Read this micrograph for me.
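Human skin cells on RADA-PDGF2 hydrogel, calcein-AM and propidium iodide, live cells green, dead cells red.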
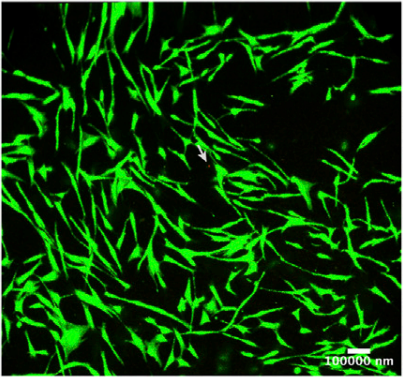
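Cells are elongated and spindle-shaped, some bipolar and some with three or more long tapering processes that reach neighbouring cells. A brighter central swelling in many cells corresponds to the cell body around the nucleus. Hardly any red-fluorescent cells are seen; a white arrow points to a faint spot among the spread cells.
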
